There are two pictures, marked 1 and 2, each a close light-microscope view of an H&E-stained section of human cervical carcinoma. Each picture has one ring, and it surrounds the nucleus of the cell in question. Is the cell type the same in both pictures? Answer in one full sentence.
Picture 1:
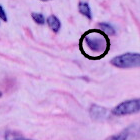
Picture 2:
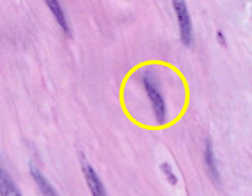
No; the cell in picture 1 is a smooth muscle cell, while the one in picture 2 is a fibroblast.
